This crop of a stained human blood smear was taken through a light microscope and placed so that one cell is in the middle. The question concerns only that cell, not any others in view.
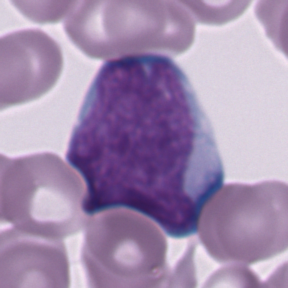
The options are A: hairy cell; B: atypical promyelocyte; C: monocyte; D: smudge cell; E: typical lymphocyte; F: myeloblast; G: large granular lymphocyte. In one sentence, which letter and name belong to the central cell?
Since the cell in the middle is a myeloblast, option F is correct.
